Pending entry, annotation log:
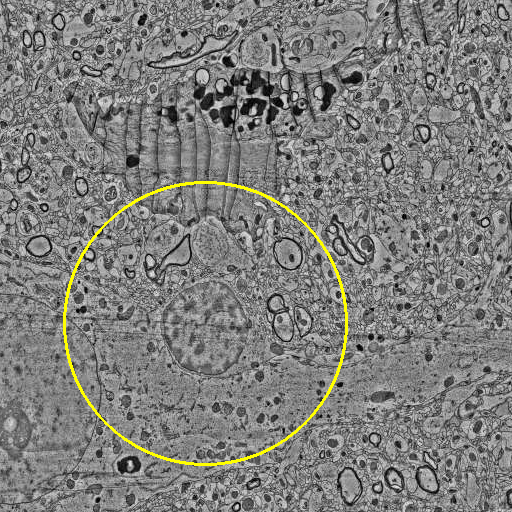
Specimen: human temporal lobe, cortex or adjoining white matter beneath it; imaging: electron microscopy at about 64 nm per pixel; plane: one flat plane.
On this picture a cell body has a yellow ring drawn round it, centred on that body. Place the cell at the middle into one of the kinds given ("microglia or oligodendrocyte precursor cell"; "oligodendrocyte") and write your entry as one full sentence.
The cell body at the middle of the yellow ring belongs to an oligodendrocyte.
